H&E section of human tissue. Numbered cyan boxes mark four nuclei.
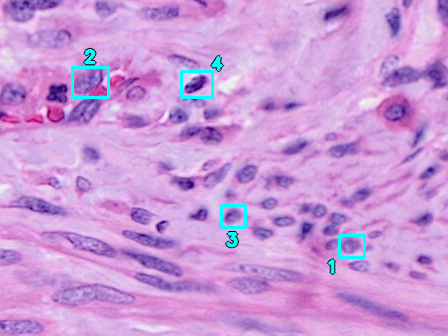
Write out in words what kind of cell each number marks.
Cell 1 is a smooth muscle cell, cell 2 is an endothelial cell, cell 3 is a smooth muscle cell and cell 4 is a lymphocyte.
